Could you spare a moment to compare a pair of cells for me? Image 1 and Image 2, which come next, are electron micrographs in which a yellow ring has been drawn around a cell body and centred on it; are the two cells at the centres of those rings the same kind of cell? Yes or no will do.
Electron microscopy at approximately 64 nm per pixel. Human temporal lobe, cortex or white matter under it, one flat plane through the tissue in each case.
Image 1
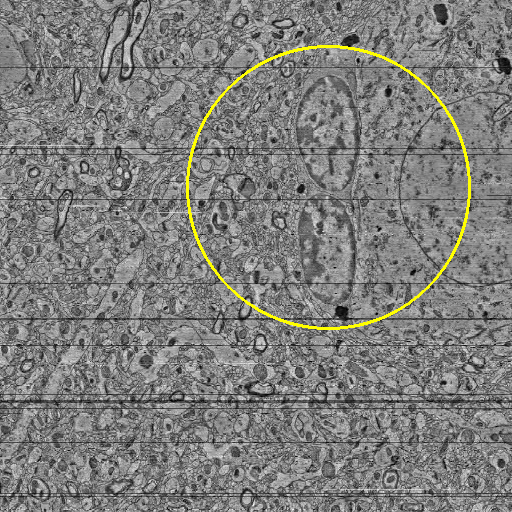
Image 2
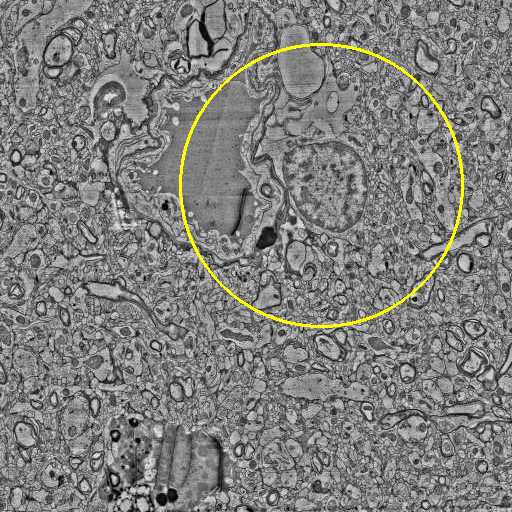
yes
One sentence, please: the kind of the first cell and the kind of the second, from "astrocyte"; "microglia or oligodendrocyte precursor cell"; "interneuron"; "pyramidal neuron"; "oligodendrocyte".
Each one of the two ringed cells is an oligodendrocyte.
